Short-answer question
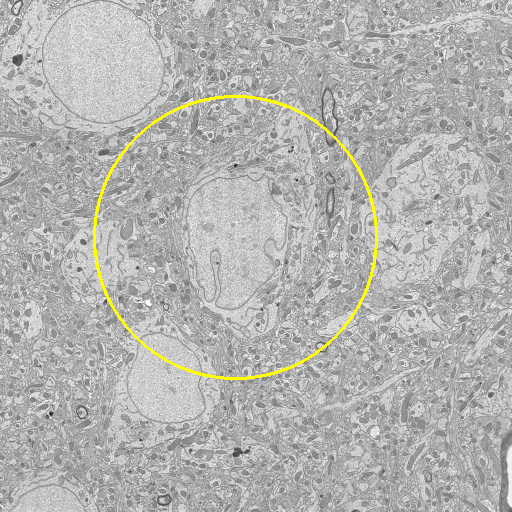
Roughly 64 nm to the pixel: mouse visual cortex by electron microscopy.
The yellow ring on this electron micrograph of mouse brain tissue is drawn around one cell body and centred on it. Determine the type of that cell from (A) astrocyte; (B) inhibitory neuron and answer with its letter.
B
